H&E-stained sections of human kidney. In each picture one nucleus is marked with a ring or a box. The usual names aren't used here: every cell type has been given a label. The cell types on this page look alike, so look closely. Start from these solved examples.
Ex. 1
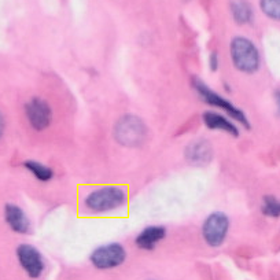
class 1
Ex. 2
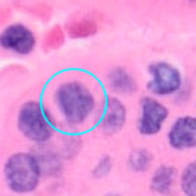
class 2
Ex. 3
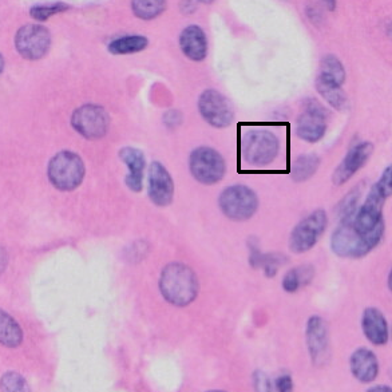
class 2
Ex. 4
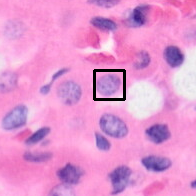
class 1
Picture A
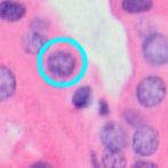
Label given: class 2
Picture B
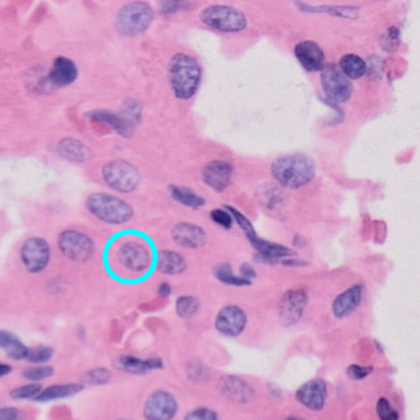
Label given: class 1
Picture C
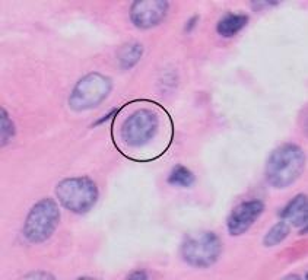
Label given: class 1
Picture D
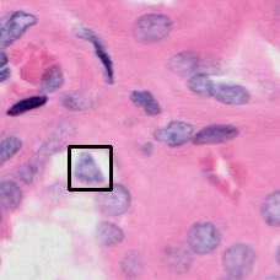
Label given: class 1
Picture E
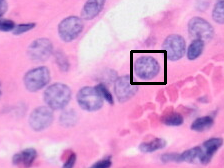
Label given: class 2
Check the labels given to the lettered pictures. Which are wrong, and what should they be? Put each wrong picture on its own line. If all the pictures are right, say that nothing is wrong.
No label is wrong.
